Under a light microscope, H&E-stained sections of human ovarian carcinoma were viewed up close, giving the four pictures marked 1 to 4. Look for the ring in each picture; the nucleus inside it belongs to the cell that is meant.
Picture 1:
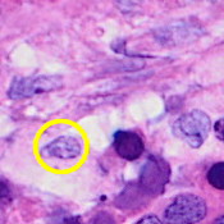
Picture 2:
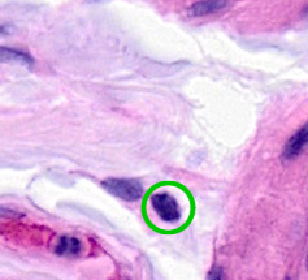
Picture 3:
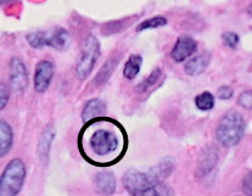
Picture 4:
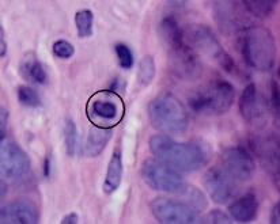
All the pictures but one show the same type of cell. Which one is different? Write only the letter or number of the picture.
1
